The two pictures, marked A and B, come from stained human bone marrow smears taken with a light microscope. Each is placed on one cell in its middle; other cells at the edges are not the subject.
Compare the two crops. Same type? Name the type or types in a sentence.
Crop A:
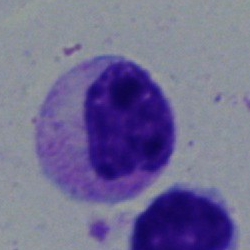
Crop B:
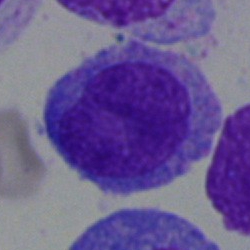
No, the cell at the middle of crop A is a myelocyte, while crop B centres on a blast.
